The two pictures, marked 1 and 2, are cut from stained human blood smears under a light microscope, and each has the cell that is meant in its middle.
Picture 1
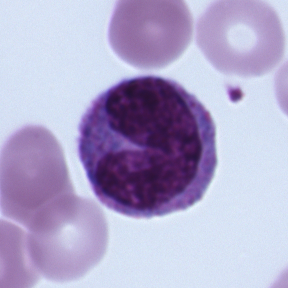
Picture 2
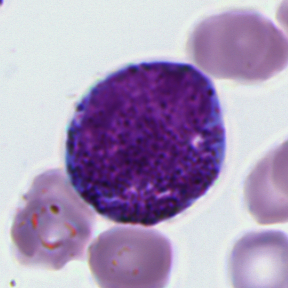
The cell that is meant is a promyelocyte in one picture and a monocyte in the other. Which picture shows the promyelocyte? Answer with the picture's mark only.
2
